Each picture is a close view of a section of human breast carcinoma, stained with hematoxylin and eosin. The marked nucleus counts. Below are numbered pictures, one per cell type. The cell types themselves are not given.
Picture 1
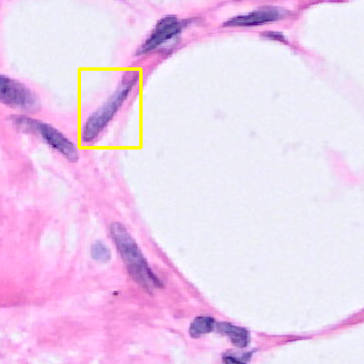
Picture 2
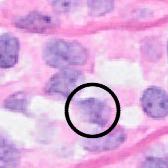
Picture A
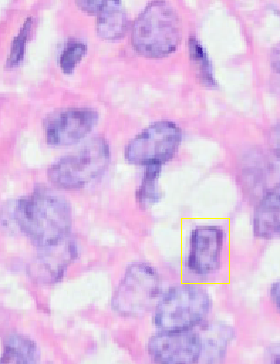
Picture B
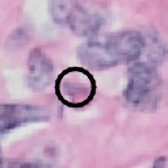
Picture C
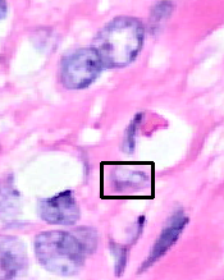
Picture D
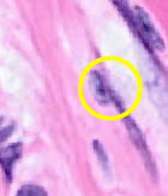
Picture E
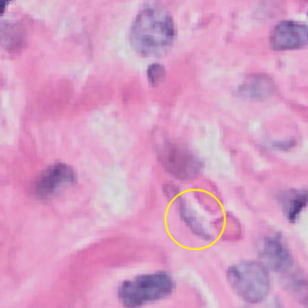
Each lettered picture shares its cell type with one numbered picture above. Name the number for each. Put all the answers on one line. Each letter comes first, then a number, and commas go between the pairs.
A 2, B 1, C 1, D 1, E 1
